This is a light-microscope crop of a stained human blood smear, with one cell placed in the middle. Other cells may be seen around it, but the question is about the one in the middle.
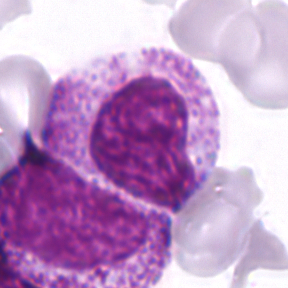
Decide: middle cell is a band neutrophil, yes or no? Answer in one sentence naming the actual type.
Yes, the cell that the crop is centred on is a band neutrophil.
